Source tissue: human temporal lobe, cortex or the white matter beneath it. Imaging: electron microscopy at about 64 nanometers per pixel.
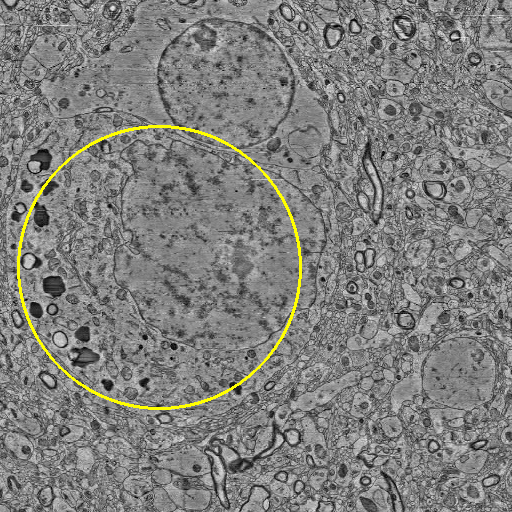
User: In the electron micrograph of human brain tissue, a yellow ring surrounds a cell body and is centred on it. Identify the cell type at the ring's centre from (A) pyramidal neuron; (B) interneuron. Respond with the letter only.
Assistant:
A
